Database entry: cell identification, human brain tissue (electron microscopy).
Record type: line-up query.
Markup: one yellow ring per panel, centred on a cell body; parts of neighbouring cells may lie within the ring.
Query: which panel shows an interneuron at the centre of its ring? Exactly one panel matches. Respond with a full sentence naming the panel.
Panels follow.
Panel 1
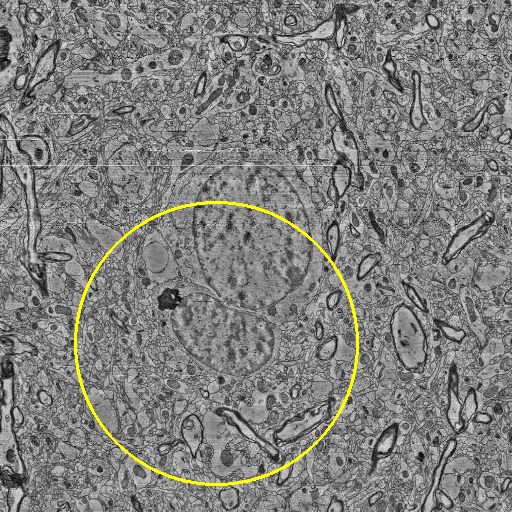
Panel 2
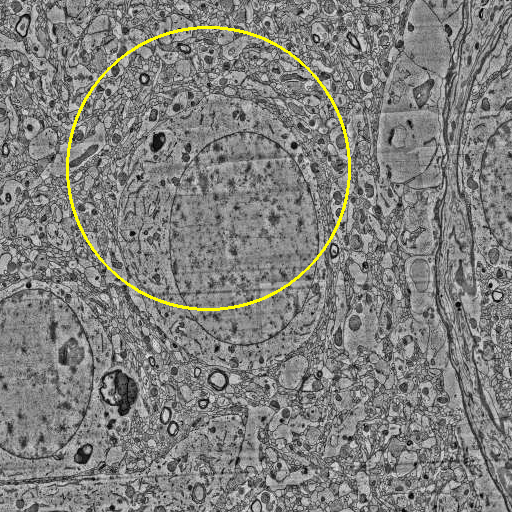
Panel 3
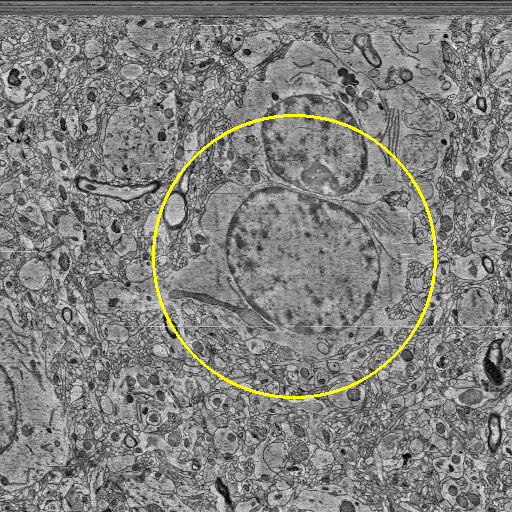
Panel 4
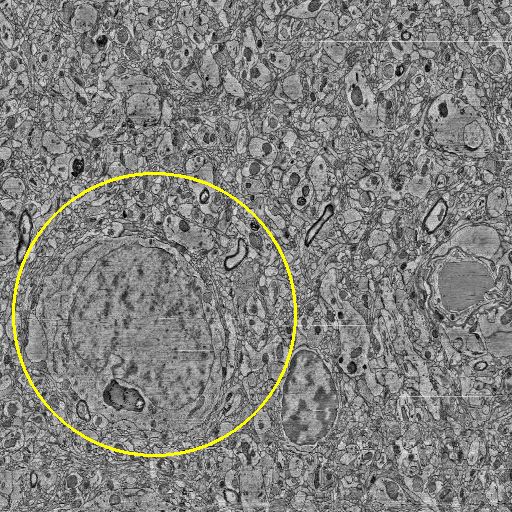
Panel 4 shows it at the centre of the ring.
